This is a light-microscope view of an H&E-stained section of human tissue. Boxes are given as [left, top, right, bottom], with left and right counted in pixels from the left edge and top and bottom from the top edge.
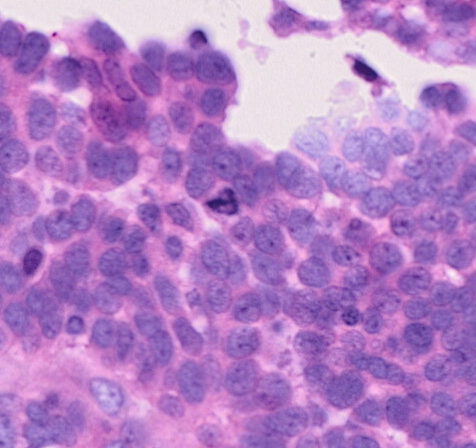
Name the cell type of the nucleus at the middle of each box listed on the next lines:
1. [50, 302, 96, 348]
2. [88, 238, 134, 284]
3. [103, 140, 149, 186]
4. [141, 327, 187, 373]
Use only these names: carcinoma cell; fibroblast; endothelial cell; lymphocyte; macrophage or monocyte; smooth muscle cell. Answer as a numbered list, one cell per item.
1. macrophage or monocyte
2. carcinoma cell
3. carcinoma cell
4. carcinoma cell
